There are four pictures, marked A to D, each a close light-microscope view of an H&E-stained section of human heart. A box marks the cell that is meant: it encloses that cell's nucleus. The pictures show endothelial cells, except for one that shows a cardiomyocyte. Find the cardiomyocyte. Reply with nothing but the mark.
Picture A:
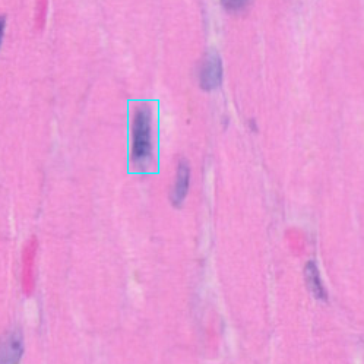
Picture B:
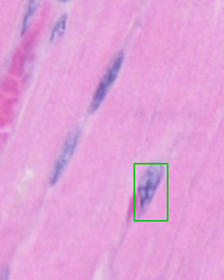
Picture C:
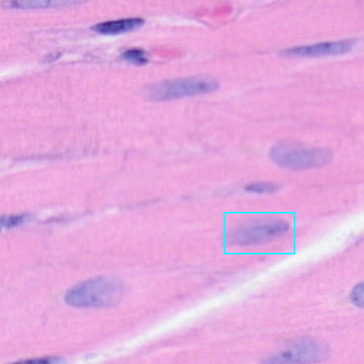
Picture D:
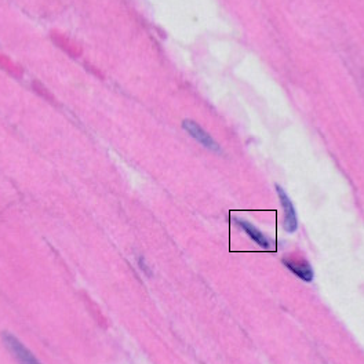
C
